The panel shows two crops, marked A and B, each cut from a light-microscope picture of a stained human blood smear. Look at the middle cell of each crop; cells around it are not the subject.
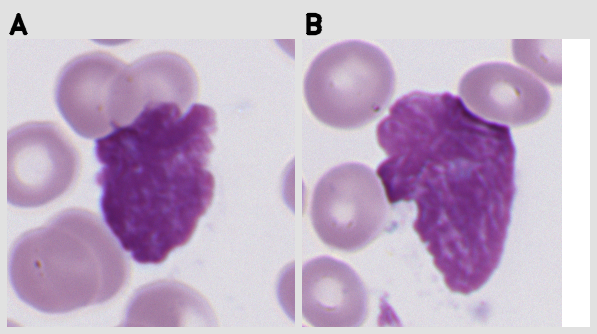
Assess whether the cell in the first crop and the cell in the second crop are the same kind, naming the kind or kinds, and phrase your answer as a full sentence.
Yes, both of the crops show smudge cells.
